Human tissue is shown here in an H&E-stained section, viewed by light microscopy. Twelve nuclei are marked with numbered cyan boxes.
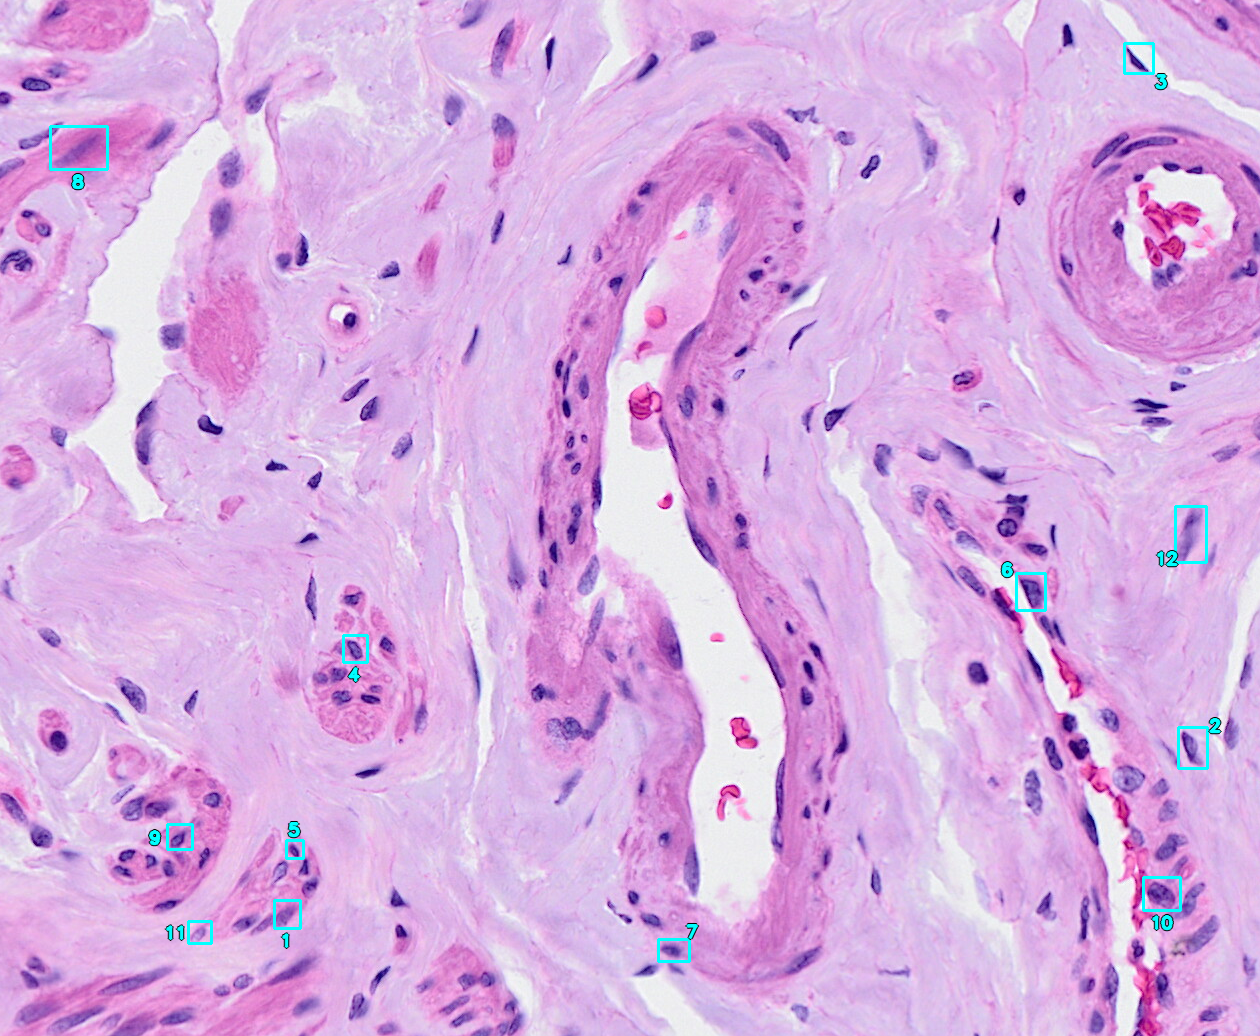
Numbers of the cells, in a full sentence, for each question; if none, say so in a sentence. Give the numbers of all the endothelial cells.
Marked by the numbers 6 and 10 are cells that are endothelial cells.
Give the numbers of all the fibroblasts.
Cells numbered 2, 3 and 12 belong to the group of fibroblasts.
